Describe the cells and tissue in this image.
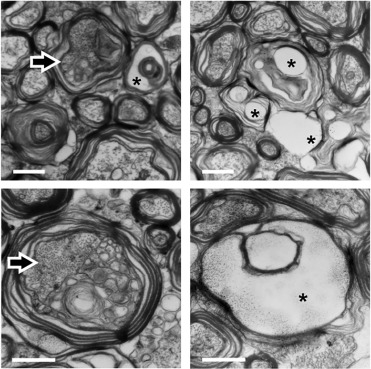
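These are cross-sectioned myelinated white matter axons, each enclosed by a dark, multilayered myelin ring. The arrowed fibers are enlarged and their interiors are crowded with small membranous vesicles and organelles, the look of swollen axons filled with degenerated mitochondria and lysosomes. One such space is very large, with a thin wavy dark myelin layer lying within it. Smaller myelinated fibers of ordinary appearance surround these changed profiles.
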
